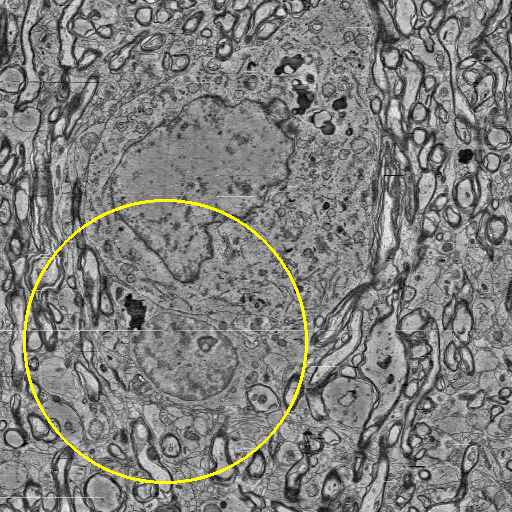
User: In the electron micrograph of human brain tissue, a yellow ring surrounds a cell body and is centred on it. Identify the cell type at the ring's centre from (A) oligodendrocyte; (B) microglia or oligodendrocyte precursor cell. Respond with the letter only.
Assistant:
A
